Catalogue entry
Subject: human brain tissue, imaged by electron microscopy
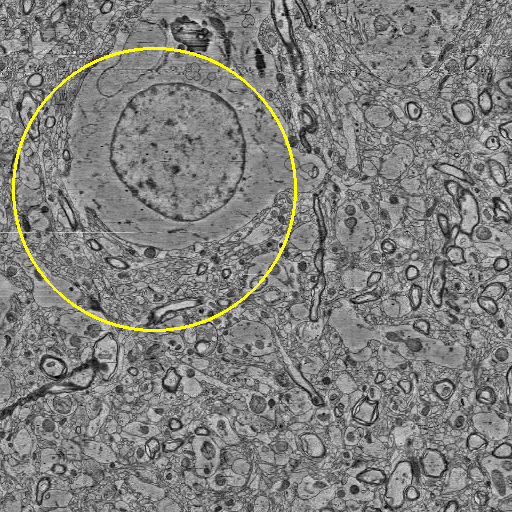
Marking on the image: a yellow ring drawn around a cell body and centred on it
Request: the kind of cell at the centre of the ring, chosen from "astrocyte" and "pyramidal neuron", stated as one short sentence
The ring has an astrocyte at its centre.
